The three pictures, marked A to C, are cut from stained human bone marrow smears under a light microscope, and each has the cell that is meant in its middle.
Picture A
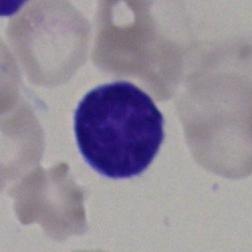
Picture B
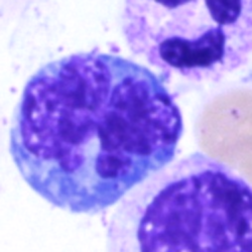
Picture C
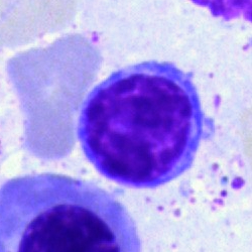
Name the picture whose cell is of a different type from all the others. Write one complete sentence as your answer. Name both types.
All pictures except B show lymphocytes; picture B shows a monocyte.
